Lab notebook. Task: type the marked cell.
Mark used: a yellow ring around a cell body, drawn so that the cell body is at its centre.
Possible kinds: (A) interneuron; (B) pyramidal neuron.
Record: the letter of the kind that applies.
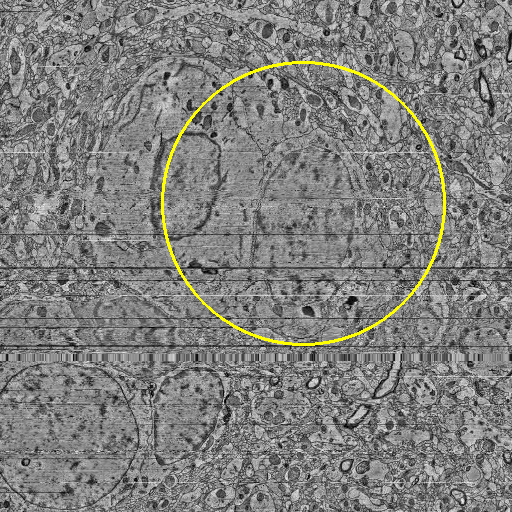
A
